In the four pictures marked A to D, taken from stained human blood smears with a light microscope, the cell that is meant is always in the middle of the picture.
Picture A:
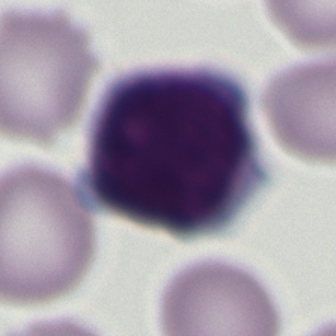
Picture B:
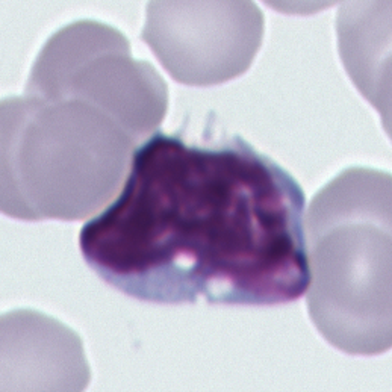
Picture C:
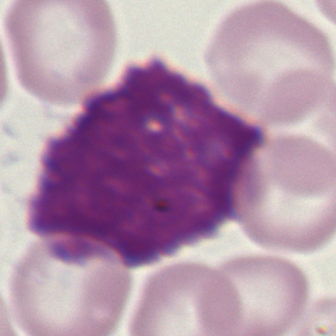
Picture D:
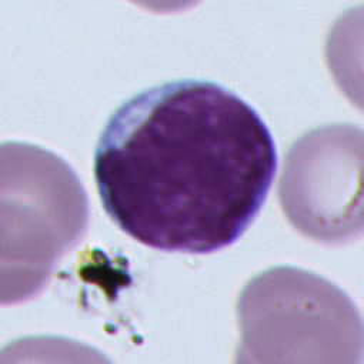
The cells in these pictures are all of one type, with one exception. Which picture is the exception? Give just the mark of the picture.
C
